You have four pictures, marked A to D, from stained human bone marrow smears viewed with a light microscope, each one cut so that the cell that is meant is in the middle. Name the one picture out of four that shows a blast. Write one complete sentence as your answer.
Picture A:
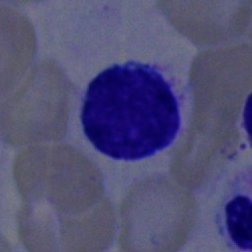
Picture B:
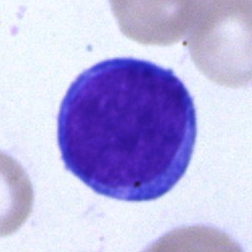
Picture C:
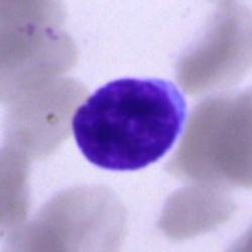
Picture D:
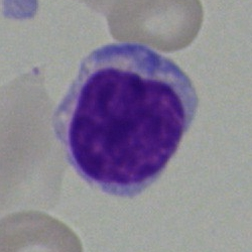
The cell in picture B is the blast.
